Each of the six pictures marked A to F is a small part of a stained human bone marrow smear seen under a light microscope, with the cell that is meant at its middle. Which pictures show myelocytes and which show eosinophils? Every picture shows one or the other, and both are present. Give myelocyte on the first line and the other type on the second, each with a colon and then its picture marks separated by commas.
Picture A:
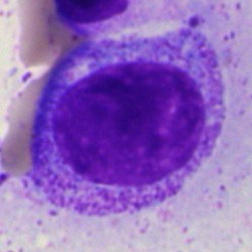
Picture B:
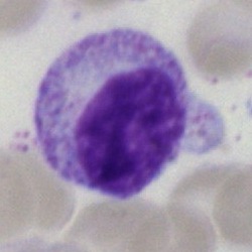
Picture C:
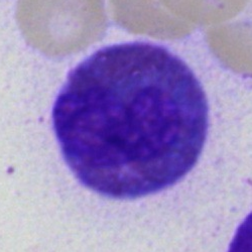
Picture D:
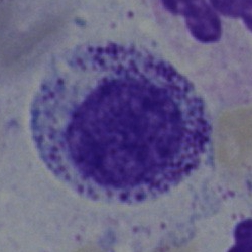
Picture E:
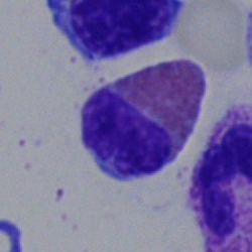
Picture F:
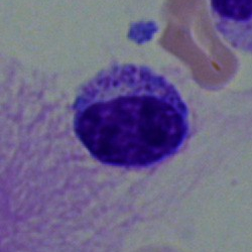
myelocyte: A, B, D, F
eosinophil: C, E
